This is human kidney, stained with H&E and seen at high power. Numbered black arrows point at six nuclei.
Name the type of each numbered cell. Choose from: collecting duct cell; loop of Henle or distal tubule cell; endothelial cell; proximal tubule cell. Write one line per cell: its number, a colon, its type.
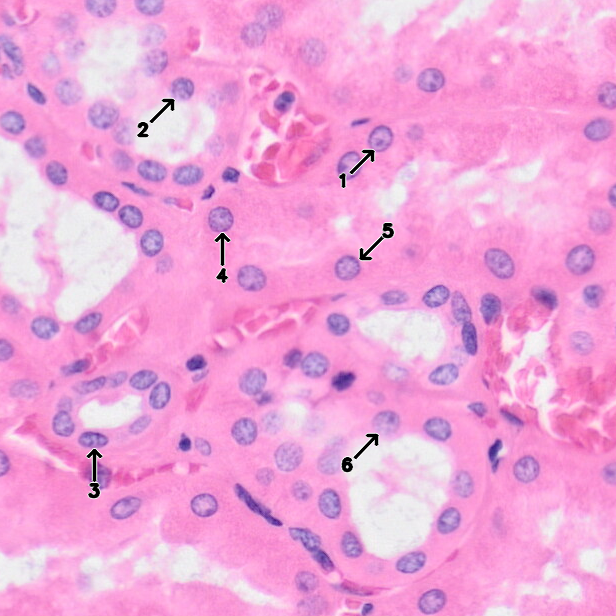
1: proximal tubule cell
2: loop of Henle or distal tubule cell
3: collecting duct cell
4: proximal tubule cell
5: proximal tubule cell
6: loop of Henle or distal tubule cell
